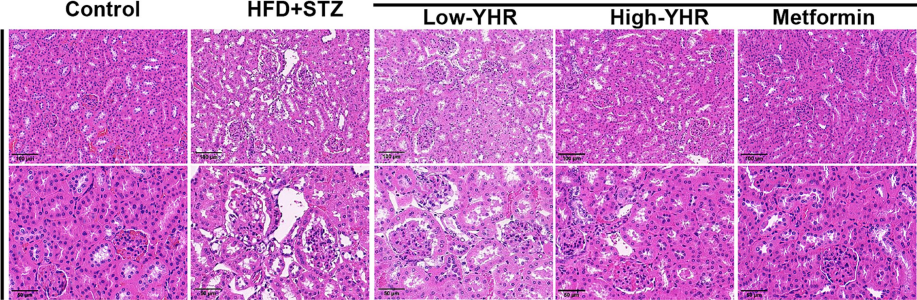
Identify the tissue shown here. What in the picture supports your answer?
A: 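Kidney tissues. Round glomerular tufts sit within Bowman's spaces. Densely packed tubules with pink cytoplasm surround the glomeruli.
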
